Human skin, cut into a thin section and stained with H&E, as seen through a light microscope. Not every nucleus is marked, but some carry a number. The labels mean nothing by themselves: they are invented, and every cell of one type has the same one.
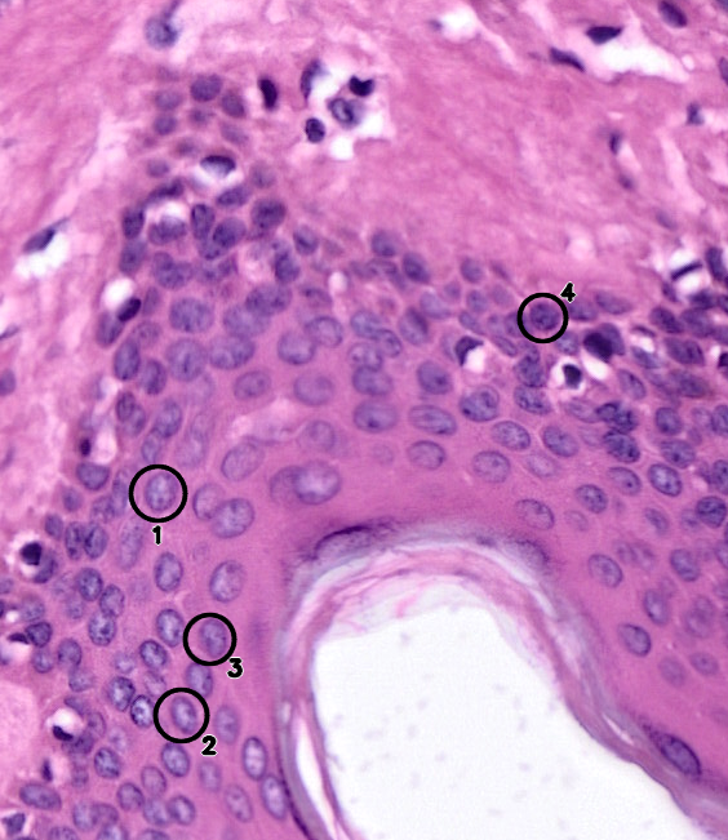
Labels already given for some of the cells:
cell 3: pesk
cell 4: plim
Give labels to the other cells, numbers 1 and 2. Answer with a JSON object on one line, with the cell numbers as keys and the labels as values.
{"1": "pesk", "2": "pesk"}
